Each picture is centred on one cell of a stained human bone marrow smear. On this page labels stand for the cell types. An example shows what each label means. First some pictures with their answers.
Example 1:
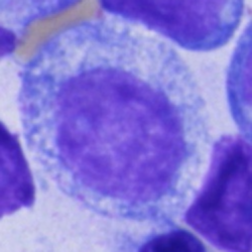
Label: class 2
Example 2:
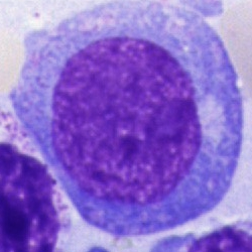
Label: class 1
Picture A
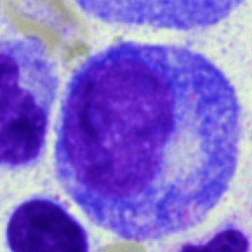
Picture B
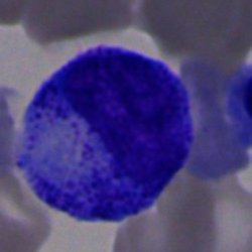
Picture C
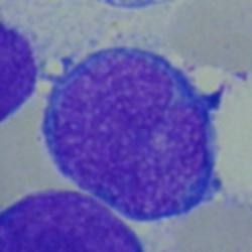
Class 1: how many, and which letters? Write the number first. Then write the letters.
1: C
